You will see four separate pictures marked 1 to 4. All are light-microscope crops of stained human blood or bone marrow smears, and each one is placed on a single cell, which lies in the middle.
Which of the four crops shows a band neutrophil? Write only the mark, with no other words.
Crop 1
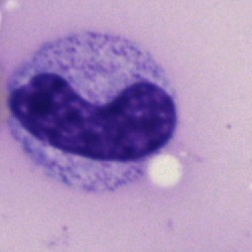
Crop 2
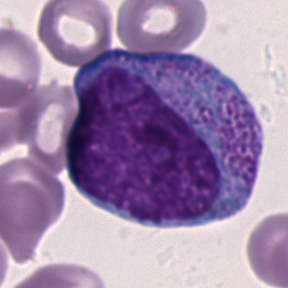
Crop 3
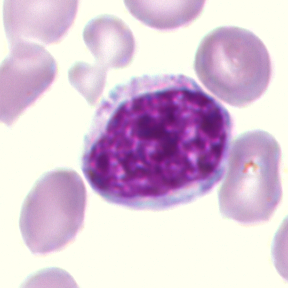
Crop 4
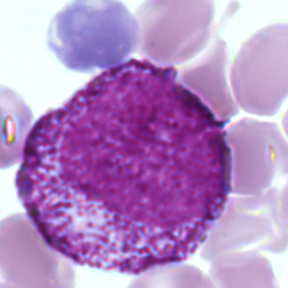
1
